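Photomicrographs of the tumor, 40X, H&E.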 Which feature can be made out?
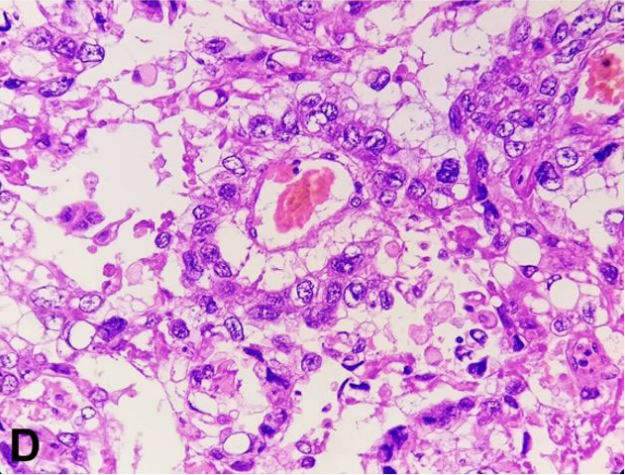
Schiller Duval body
